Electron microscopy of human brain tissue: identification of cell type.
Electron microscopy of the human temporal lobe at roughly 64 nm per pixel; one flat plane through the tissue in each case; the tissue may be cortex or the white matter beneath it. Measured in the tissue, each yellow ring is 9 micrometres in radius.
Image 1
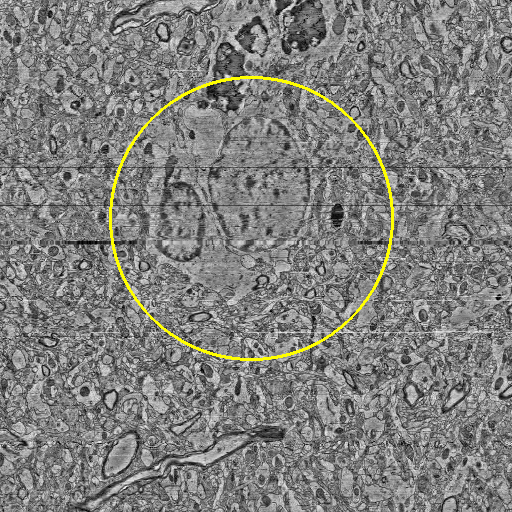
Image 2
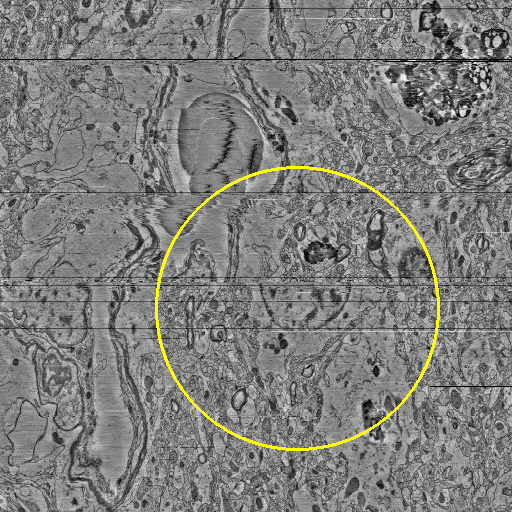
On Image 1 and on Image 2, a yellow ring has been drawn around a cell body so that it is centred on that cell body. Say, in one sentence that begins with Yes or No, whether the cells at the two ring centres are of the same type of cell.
Yes, both cells are the same type of cell.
